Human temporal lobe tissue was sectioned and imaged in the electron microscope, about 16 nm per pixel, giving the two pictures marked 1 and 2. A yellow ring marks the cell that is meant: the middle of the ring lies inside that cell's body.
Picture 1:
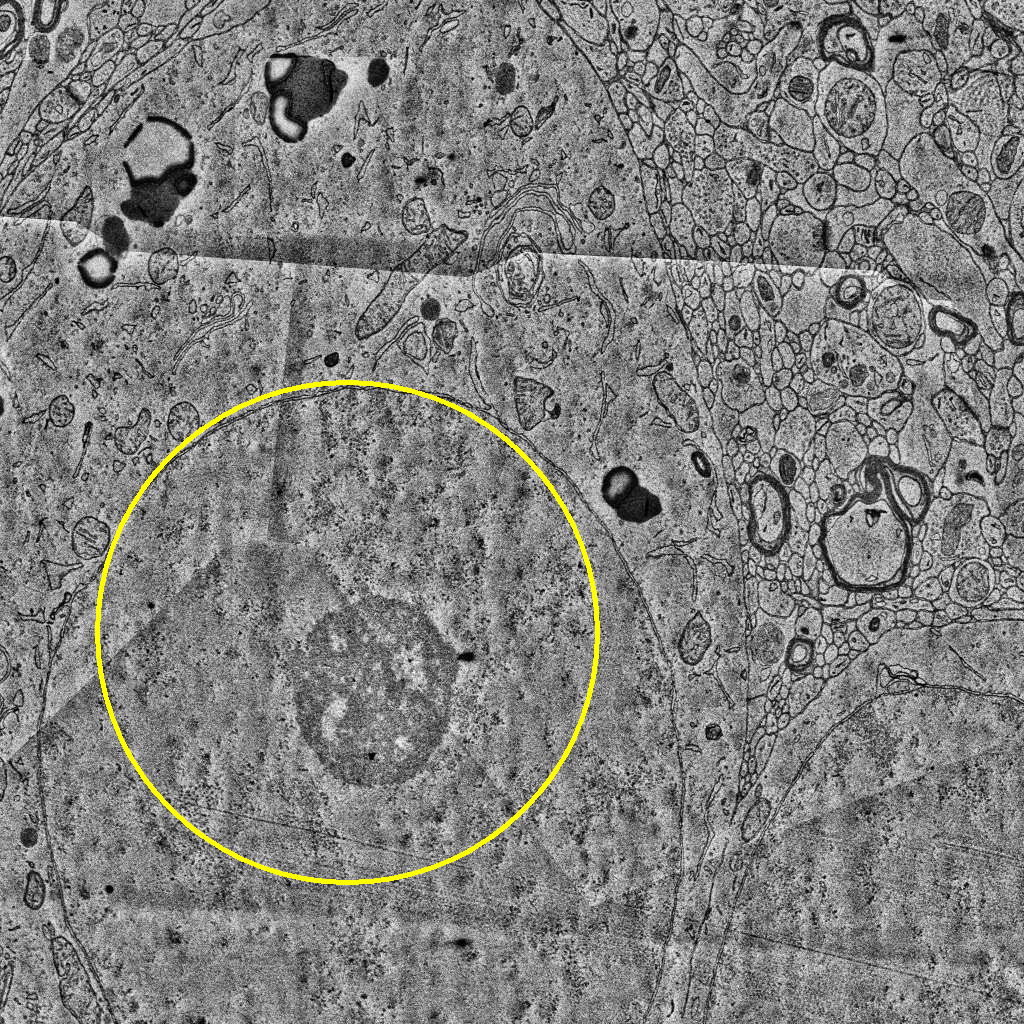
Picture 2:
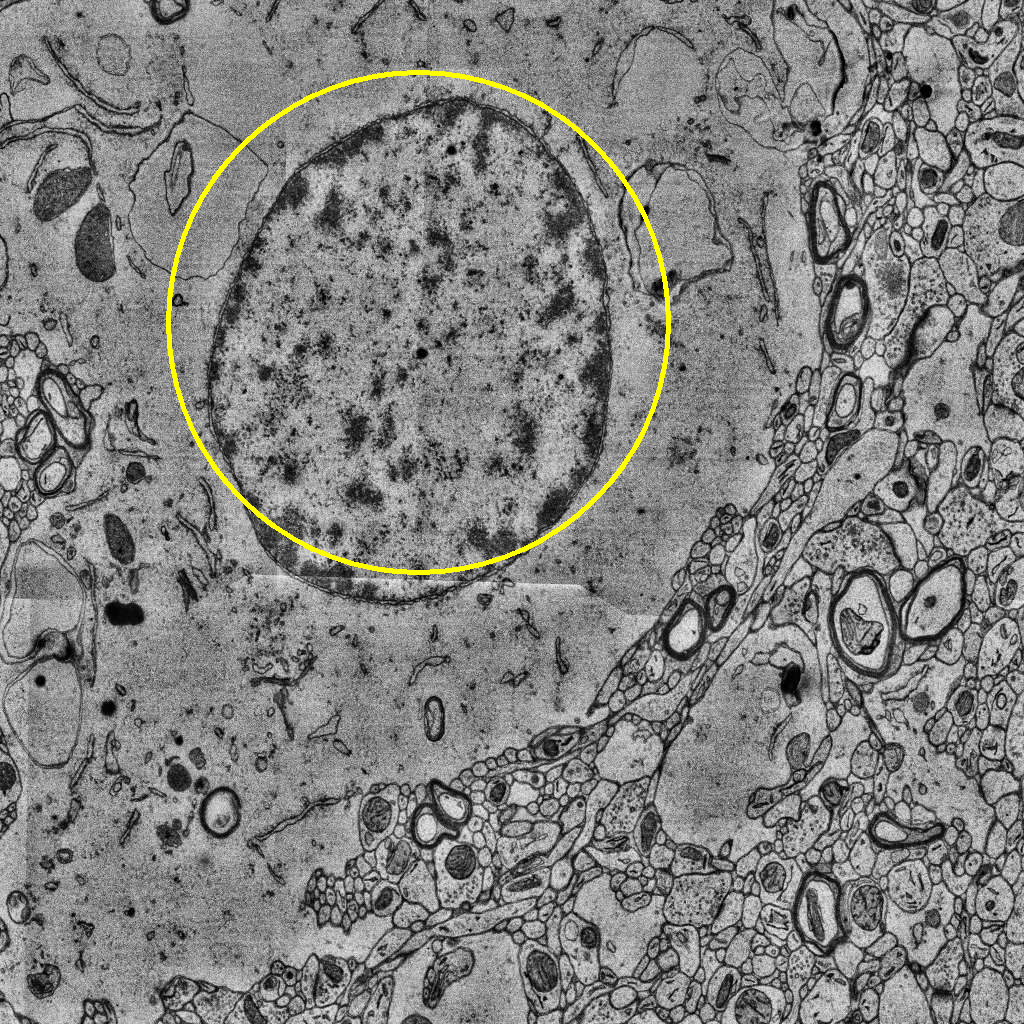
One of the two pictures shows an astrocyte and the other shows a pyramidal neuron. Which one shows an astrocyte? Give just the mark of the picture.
2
